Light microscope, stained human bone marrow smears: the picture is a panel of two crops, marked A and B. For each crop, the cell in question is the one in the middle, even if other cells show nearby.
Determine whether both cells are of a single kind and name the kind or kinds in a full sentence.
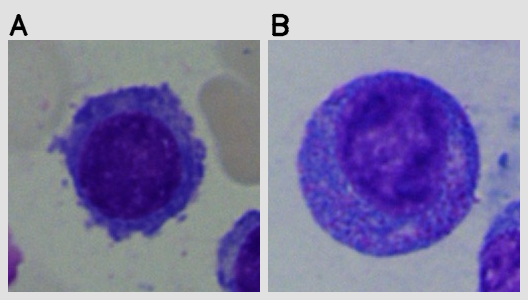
No, crop A shows a plasma cell, with a promyelocyte shown in crop B.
